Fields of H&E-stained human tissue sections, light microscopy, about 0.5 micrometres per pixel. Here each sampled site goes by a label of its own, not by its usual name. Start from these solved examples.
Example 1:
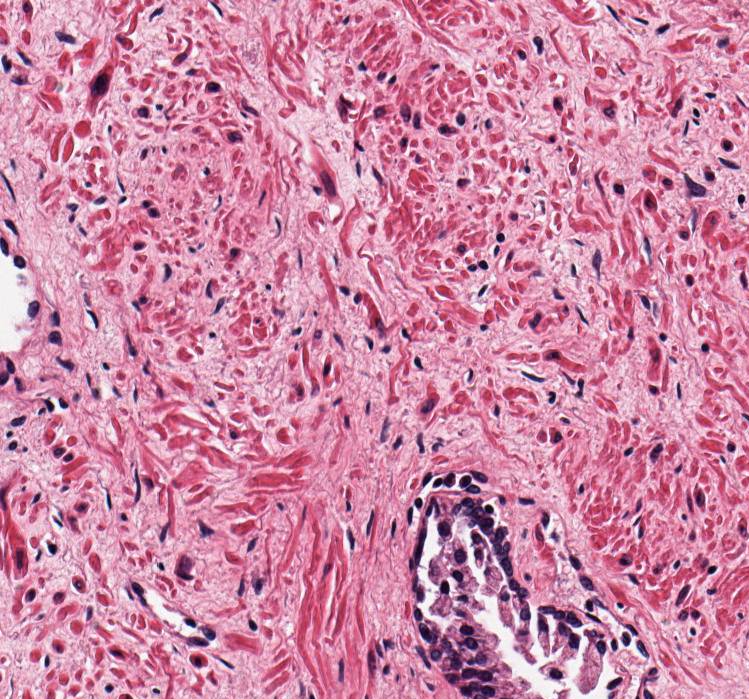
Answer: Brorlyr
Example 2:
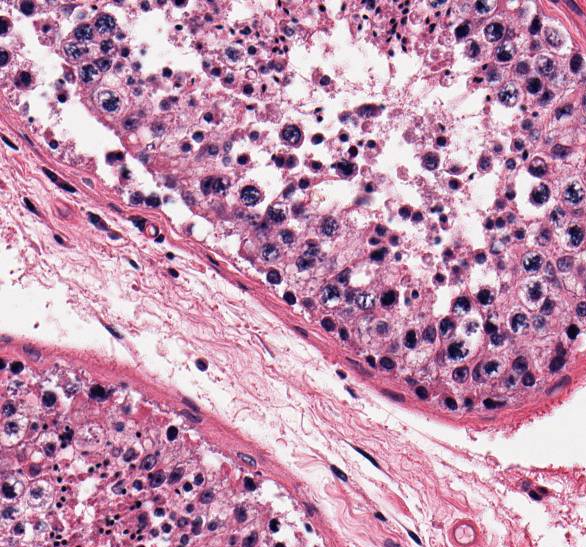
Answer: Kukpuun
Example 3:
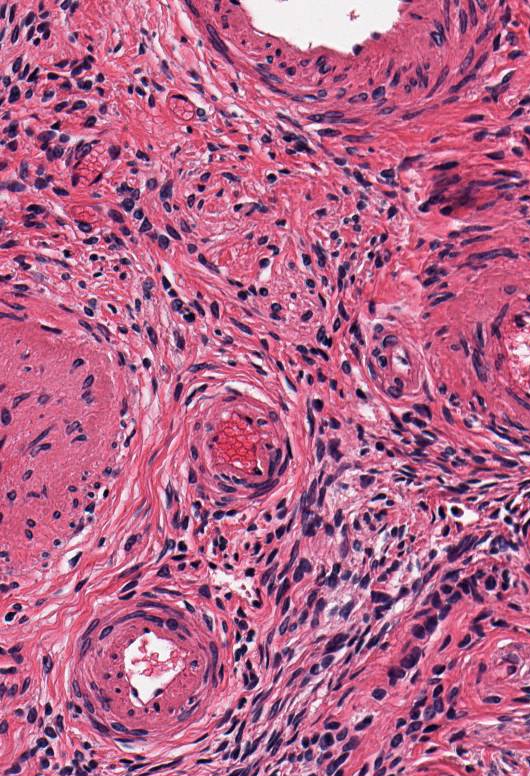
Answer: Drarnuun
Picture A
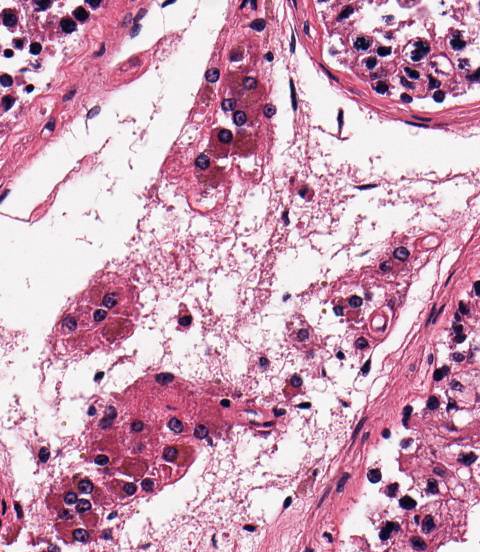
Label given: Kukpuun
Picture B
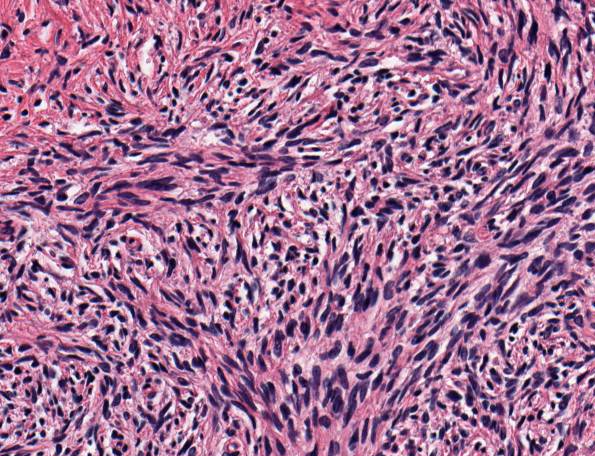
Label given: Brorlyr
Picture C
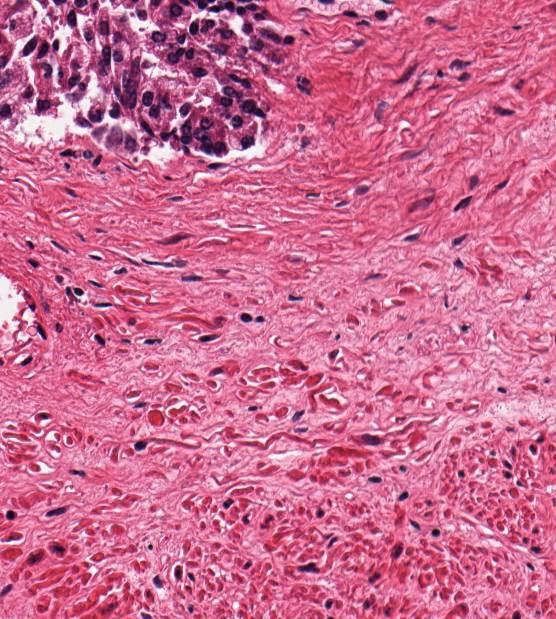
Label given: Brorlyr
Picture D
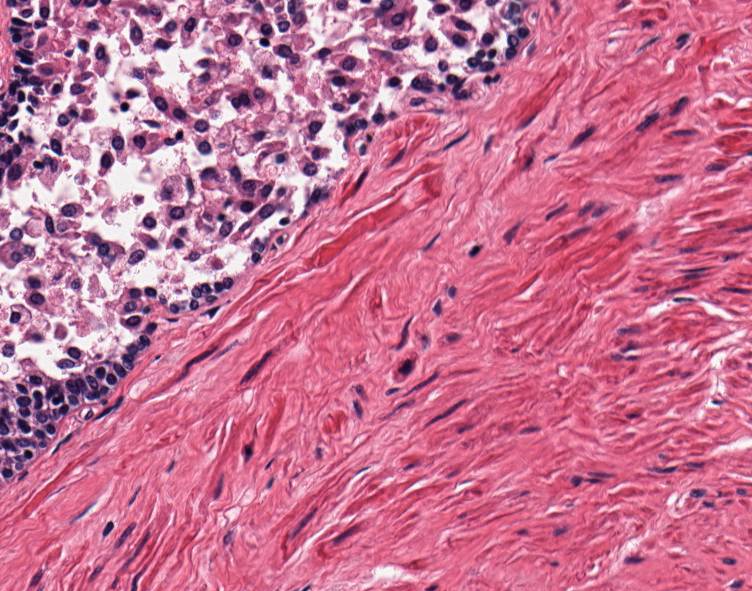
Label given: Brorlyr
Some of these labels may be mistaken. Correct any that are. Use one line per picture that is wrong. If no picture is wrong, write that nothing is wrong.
B: Drarnuun, not Brorlyr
